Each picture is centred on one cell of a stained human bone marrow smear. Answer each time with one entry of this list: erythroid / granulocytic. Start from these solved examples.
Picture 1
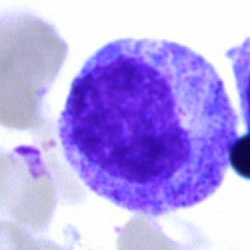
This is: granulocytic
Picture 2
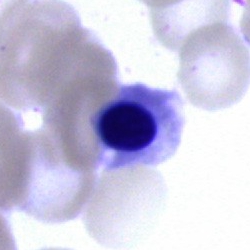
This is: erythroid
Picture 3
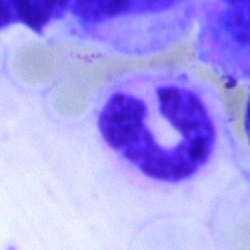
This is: granulocytic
